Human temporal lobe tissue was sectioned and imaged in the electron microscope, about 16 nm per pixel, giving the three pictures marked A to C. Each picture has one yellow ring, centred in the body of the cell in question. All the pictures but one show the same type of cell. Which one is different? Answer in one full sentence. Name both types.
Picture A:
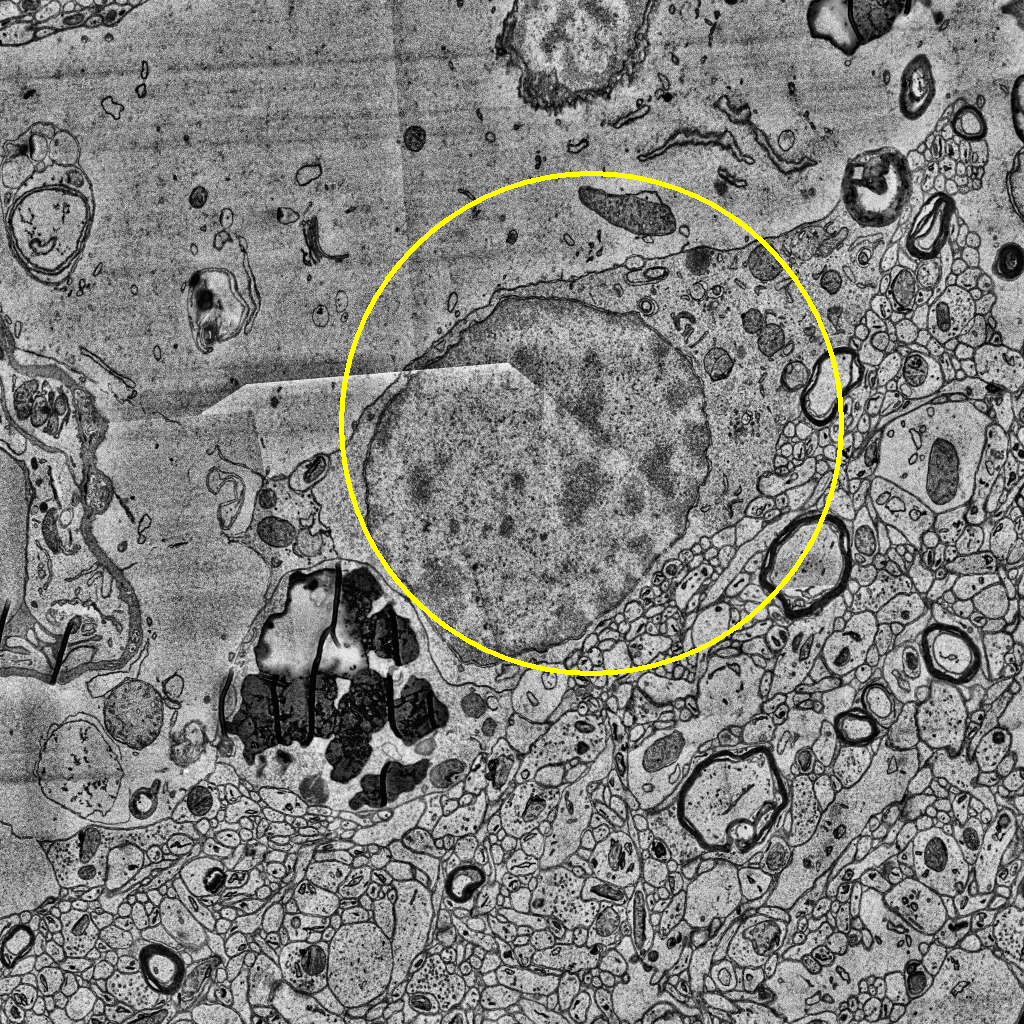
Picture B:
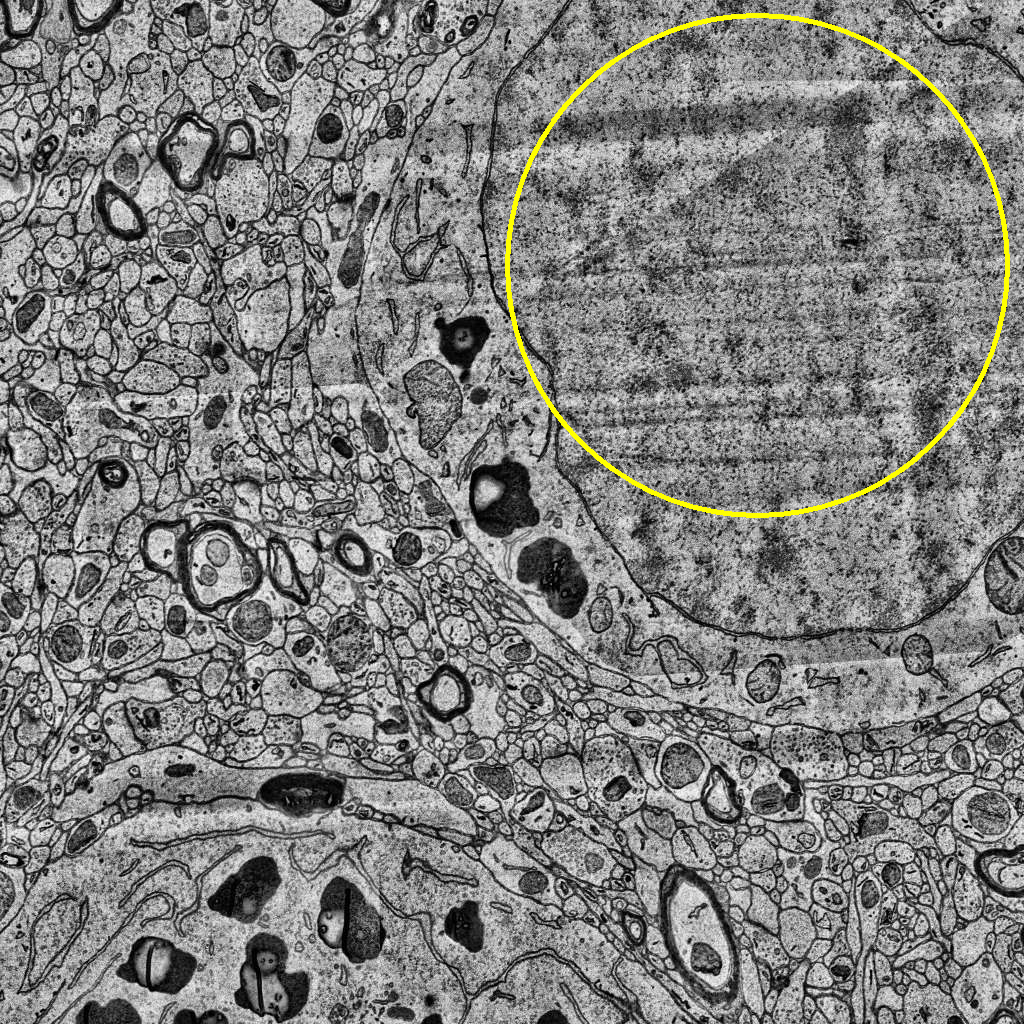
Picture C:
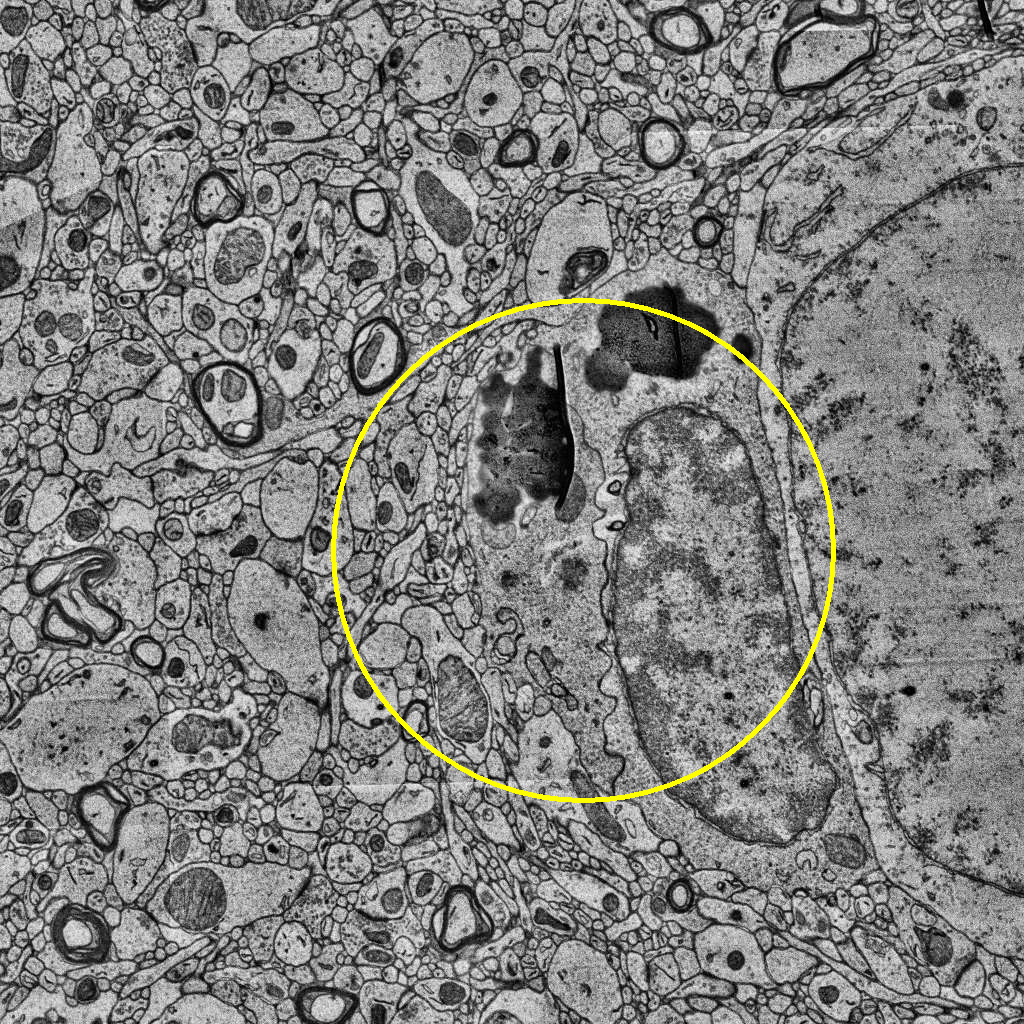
All pictures except B show oligodendrocytes; picture B shows a pyramidal neuron.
